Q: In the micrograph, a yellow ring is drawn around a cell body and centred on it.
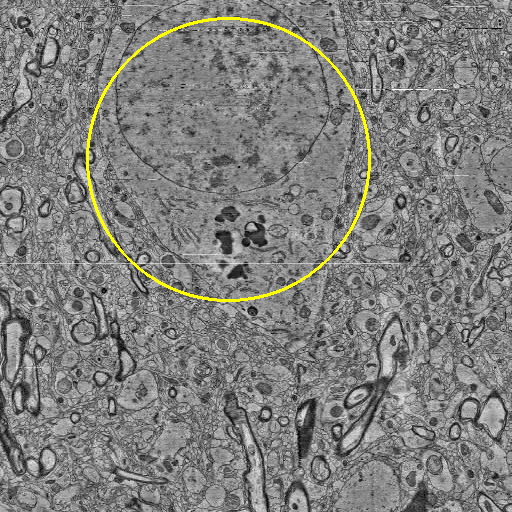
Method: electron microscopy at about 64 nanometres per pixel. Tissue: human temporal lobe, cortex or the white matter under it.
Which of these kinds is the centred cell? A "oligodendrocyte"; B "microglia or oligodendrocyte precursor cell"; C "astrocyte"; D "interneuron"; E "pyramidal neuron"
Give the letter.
E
